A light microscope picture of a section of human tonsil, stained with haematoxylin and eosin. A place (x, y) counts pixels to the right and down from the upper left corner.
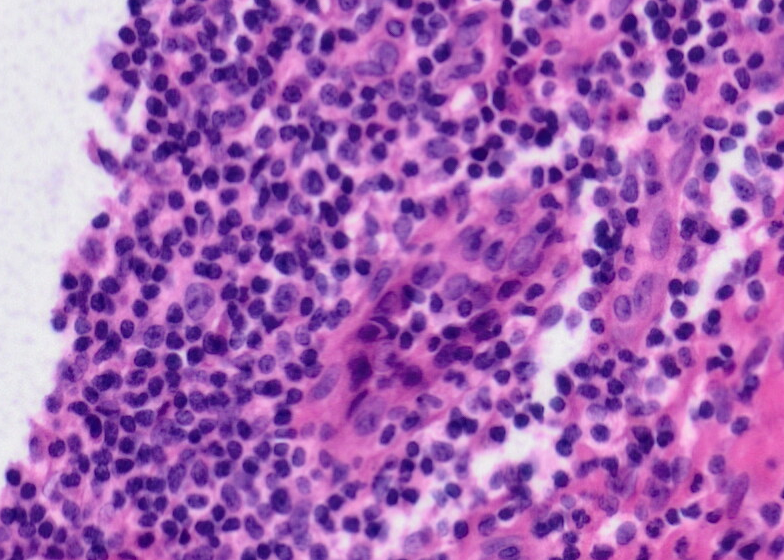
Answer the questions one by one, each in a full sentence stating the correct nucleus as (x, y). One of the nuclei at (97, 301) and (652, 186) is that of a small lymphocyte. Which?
Belonging to a small lymphocyte is the nucleus at (97, 301).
